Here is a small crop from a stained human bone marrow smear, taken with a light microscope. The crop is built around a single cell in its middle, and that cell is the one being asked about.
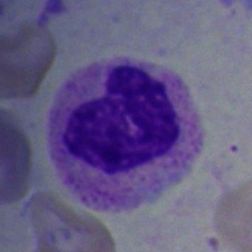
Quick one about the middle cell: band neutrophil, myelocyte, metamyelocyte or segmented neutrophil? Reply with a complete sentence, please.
For this crop, the cell in the middle is a band neutrophil.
